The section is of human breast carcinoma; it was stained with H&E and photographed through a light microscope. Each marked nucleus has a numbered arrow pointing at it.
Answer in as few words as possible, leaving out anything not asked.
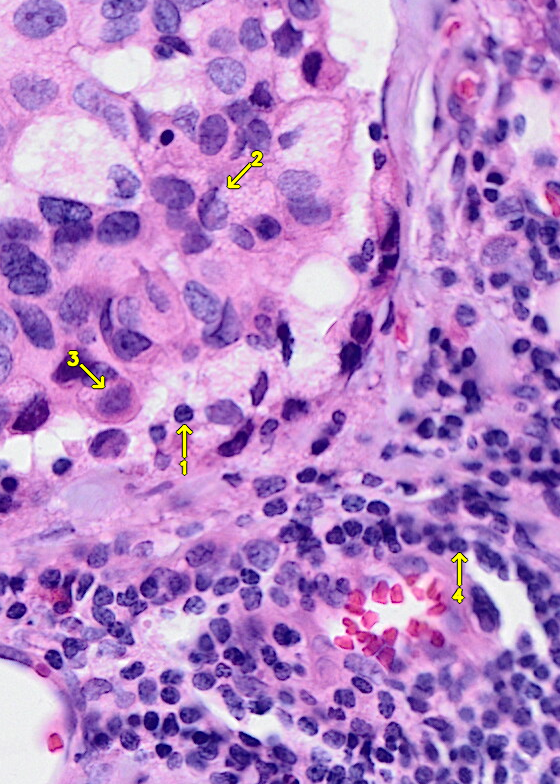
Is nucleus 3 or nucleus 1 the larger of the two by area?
3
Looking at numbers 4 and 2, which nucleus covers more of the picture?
2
